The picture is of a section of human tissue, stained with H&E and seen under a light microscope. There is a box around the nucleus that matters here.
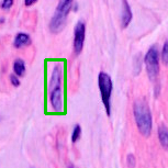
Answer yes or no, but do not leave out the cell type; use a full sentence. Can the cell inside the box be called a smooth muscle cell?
Yes, the cell inside the box is, by type, a smooth muscle cell.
